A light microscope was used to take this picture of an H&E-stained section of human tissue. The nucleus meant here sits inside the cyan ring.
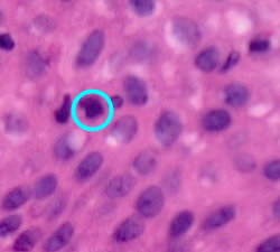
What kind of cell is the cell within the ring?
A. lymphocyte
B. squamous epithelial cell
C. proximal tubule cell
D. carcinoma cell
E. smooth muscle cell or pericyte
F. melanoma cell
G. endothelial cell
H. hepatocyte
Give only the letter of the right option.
B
